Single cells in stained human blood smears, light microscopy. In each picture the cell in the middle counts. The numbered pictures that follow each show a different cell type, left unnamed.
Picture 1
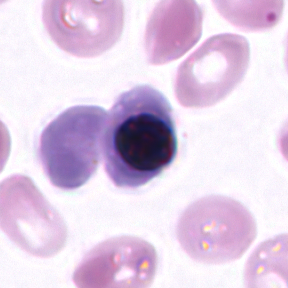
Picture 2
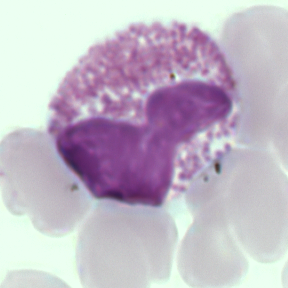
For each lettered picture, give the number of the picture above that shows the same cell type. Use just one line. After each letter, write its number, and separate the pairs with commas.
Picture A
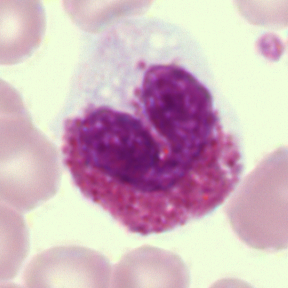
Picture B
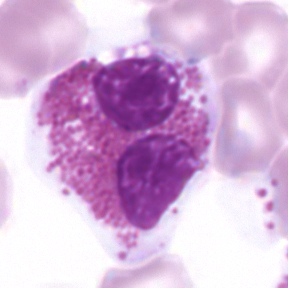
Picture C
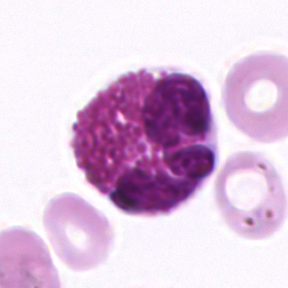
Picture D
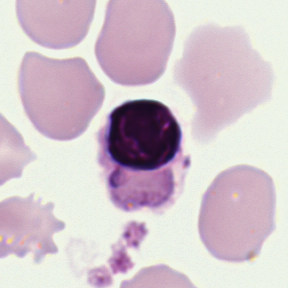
A 2, B 2, C 2, D 1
